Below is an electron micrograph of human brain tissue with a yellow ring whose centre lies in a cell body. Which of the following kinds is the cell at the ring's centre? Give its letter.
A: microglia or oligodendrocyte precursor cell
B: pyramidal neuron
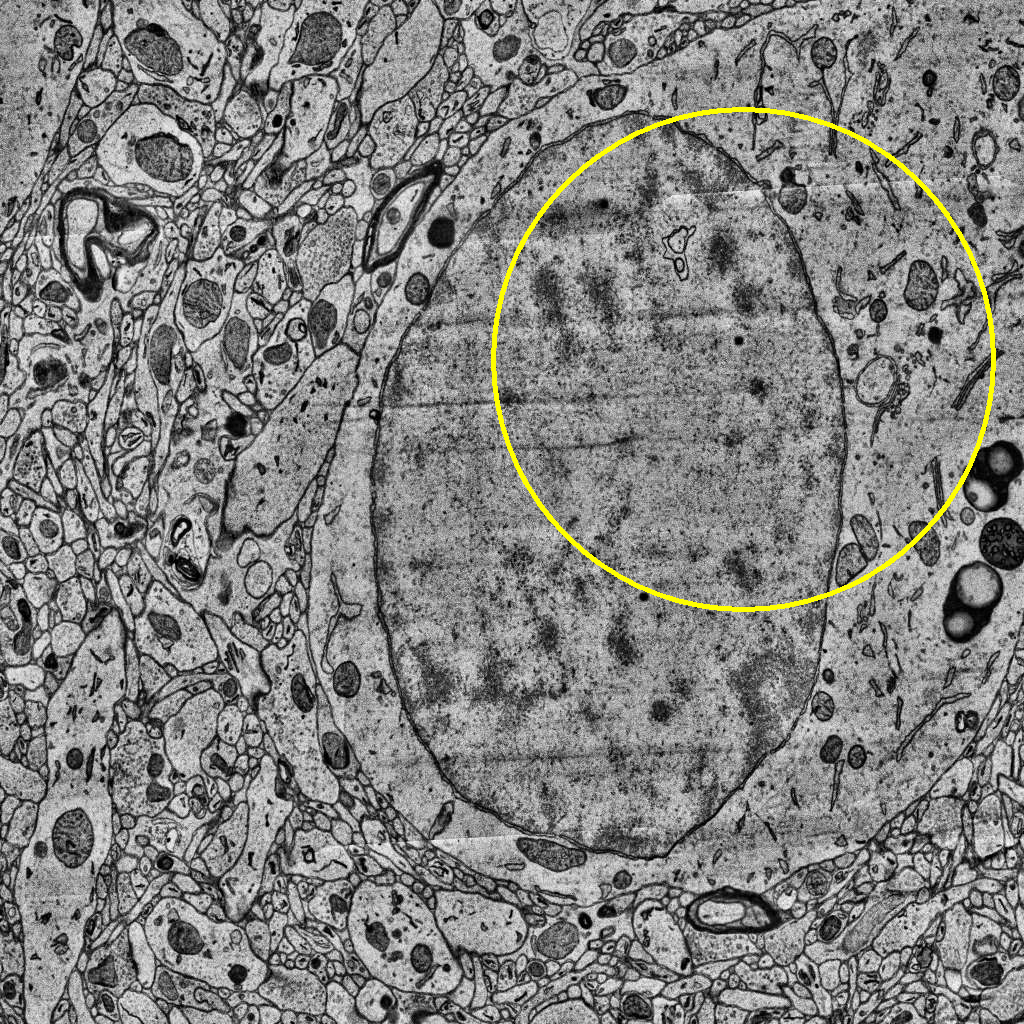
B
